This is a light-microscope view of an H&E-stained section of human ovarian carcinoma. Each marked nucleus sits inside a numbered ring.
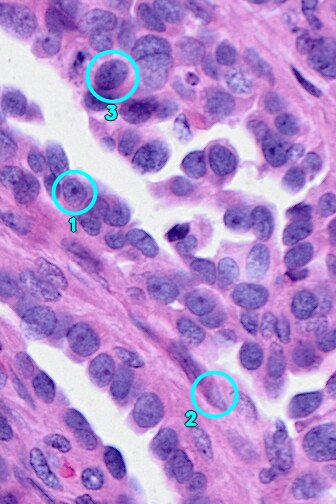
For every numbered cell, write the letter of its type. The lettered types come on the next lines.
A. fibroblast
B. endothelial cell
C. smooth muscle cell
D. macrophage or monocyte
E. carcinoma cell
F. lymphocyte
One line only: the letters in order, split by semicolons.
E; A; E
